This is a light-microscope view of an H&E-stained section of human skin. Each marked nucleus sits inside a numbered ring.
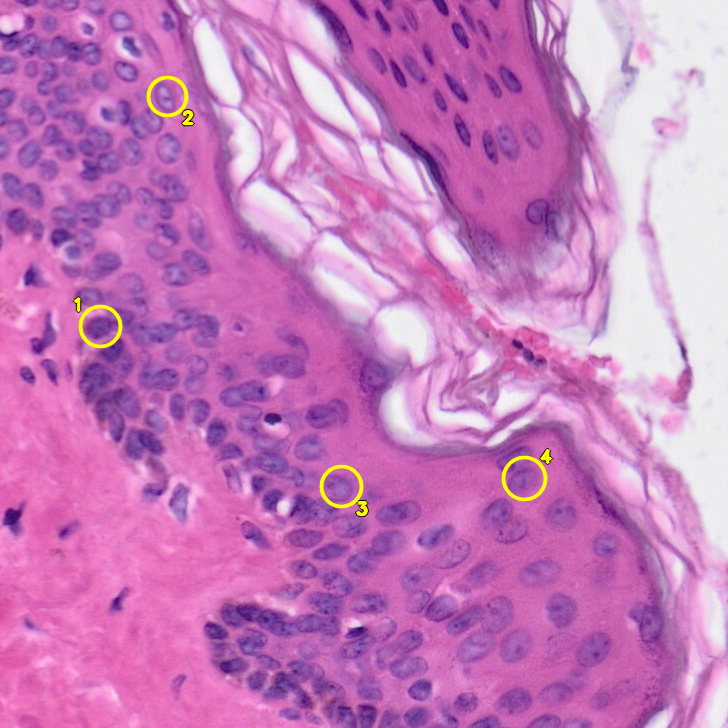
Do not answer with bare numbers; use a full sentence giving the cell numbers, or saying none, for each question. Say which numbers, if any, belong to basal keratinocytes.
The numbered cells include exactly one that is a basal keratinocyte, which is cell 1.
